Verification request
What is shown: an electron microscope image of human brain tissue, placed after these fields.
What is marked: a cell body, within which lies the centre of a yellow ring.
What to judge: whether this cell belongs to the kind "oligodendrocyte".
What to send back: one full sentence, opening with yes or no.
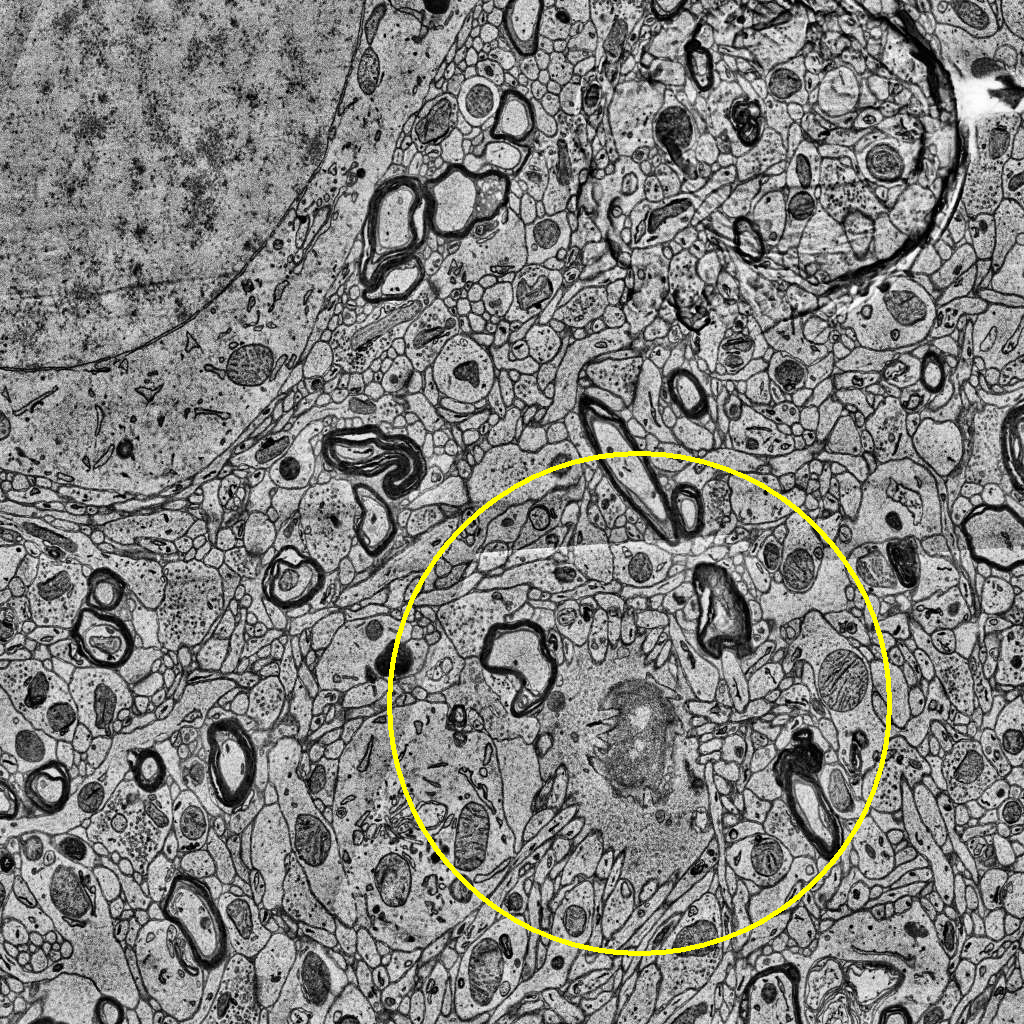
Yes, the cell whose body holds the centre of the yellow ring in the picture is of that kind.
